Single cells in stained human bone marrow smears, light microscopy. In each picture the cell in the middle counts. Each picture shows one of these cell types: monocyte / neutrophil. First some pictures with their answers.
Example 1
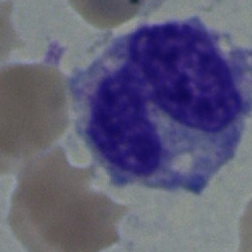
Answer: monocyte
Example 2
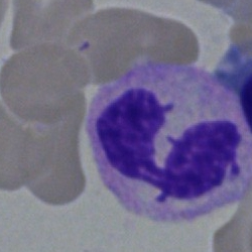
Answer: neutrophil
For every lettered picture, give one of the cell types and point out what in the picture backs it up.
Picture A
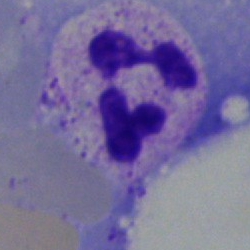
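Label: neutrophil. The cytoplasm is ample and pale pinkish-lilac.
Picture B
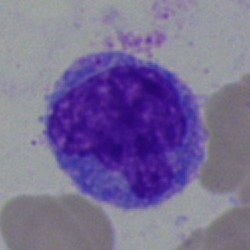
Label: monocyte. The nucleus is large and fills most of the cell.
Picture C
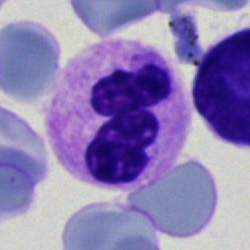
Label: neutrophil. The cytoplasm is abundant and pale pinkish-lilac.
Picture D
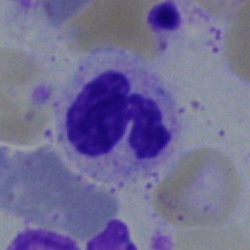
Label: neutrophil. The cytoplasm is plentiful and pale greyish-lilac.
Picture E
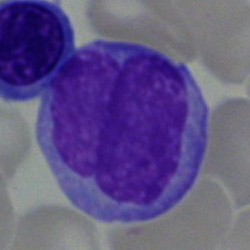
Label: monocyte. The nucleus fills most of the cell.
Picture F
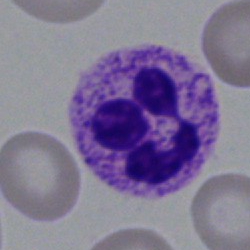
Label: neutrophil. The cytoplasm is plentiful, forming a wide rim around the nucleus.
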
